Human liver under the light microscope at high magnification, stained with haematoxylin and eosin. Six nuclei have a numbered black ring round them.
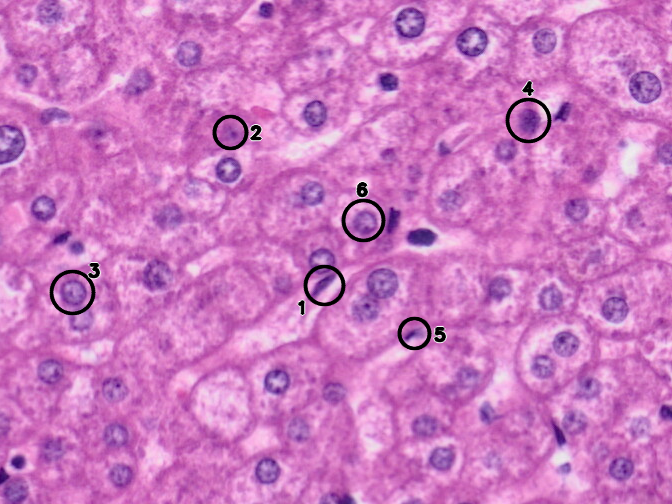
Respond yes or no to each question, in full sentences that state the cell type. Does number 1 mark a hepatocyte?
No, cell 1 should be read as a Kupffer cell instead of a hepatocyte.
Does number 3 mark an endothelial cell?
No, cell 3, which is a hepatocyte, is not an endothelial cell.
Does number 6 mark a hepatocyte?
Yes, the cell pointed out as number 6 is a hepatocyte.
